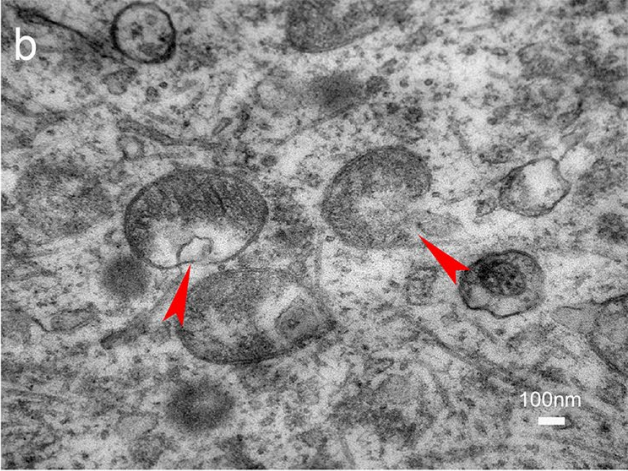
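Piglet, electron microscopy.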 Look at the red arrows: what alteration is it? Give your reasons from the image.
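Partial mitochondrial membrane collapse and rupture. The arrowheads point at the edges of oval organelles with striated inner membranes. At the marked spots the organelle outline is indented or broken.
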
